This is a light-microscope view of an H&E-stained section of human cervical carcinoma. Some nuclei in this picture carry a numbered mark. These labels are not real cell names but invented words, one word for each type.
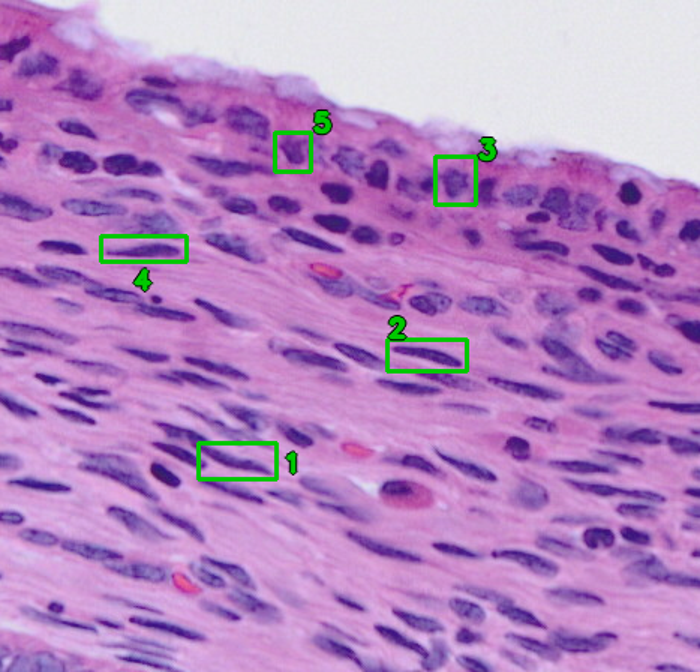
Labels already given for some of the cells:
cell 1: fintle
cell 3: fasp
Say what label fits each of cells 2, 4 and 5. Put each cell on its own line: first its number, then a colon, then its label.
2: fintle
4: fintle
5: fasp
